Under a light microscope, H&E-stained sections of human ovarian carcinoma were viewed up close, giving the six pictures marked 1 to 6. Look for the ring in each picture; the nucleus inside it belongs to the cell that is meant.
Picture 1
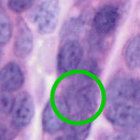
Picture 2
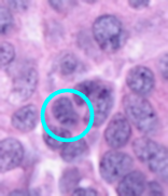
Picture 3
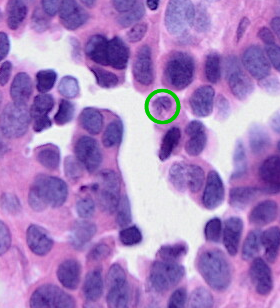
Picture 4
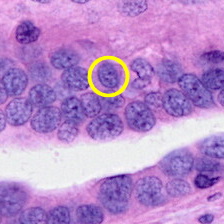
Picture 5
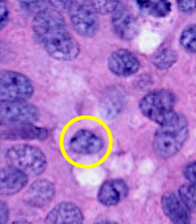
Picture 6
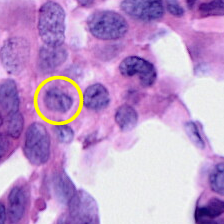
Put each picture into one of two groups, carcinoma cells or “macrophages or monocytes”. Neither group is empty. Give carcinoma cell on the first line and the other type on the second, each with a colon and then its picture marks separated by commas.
carcinoma cell: 1, 2, 4
macrophage or monocyte: 3, 5, 6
